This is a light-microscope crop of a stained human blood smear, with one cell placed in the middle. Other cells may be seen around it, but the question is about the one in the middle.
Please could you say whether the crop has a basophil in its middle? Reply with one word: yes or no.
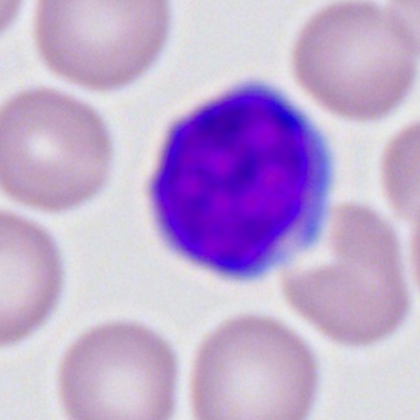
no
